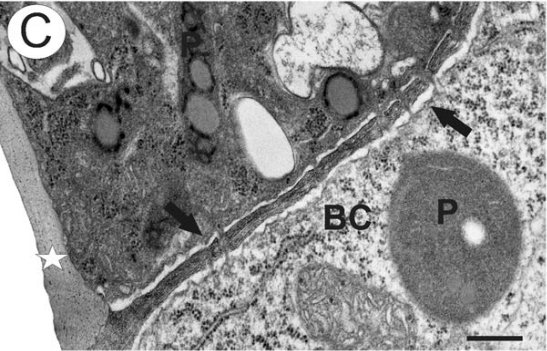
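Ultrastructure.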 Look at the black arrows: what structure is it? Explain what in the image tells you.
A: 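The arrows point at the thin wall running diagonally between two cells. At the arrowheads the wall is crossed by narrow channels. That points to this answer: plasmodesmata.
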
